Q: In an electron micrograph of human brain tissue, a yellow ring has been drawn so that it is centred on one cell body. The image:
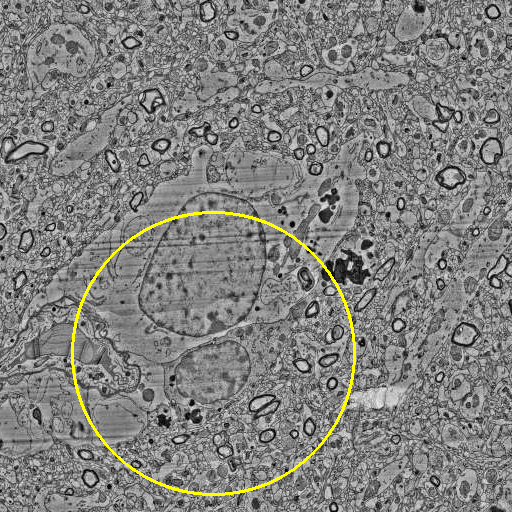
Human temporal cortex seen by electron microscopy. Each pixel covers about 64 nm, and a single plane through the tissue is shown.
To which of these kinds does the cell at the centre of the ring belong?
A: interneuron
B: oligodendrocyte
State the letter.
B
